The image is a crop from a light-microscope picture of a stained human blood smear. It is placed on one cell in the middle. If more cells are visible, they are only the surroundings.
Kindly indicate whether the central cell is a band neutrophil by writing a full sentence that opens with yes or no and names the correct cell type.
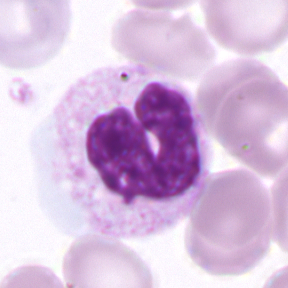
Yes, the cell in the middle of the crop is a band neutrophil.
